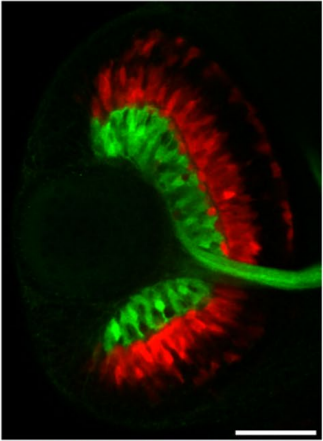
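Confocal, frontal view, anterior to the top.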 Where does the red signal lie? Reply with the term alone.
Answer: Inner nuclear layer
